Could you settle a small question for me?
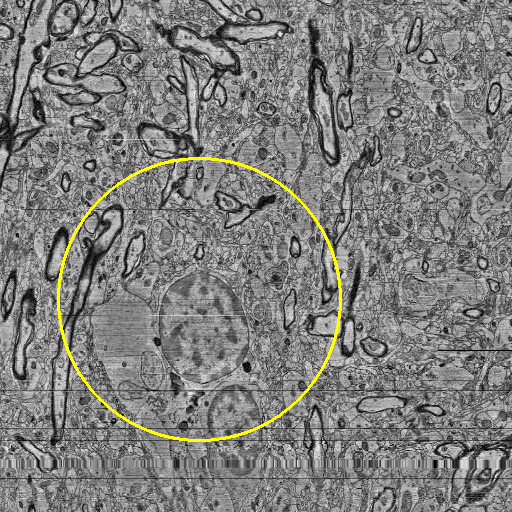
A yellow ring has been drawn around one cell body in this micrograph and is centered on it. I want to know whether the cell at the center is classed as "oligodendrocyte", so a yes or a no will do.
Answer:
no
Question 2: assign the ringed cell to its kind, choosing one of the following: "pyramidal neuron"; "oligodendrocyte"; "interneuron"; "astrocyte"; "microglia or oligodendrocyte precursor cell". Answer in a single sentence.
The cell shown in the ring is a microglial cell or oligodendrocyte precursor cell.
